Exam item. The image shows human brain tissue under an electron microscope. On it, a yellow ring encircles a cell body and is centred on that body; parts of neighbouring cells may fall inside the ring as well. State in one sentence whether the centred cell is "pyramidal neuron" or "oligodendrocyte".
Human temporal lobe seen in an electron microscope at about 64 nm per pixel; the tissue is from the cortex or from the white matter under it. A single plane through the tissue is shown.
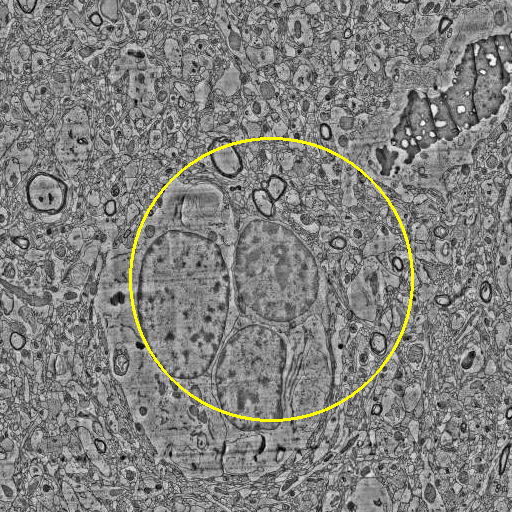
The cell body centred in the ring is an oligodendrocyte.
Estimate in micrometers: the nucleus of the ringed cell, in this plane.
In this plane the nucleus measures roughly 7 by 5 micrometers.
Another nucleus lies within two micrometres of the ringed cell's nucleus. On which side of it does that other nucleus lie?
That other nucleus is to the left of it.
